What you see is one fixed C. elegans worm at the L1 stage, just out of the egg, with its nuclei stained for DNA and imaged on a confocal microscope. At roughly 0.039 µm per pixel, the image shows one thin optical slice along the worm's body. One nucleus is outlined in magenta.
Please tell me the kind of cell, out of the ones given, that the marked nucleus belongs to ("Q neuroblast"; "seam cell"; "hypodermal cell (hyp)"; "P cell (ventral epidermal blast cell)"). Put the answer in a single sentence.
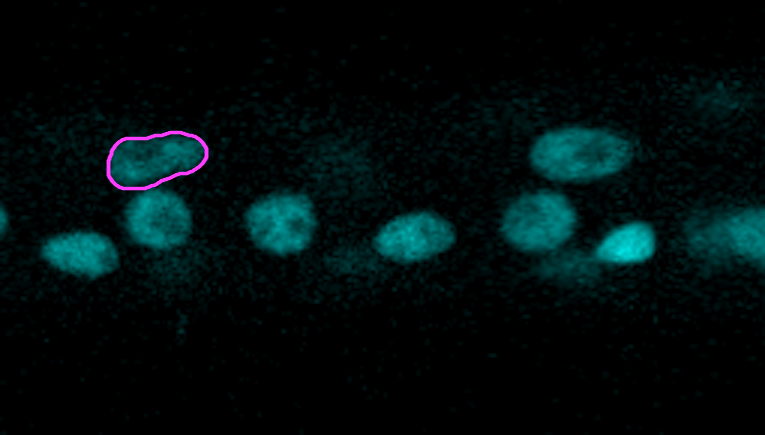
The cell with the marked nucleus is a hypodermal cell (hyp).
